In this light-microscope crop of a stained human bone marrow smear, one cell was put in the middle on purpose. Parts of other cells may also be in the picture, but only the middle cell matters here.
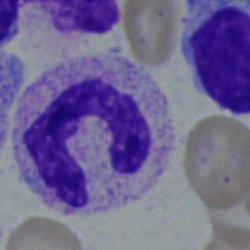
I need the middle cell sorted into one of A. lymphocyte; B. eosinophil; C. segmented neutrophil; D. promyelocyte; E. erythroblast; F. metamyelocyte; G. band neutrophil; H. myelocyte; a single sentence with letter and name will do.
Option G is correct, naming the cell in the middle as a band neutrophil.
